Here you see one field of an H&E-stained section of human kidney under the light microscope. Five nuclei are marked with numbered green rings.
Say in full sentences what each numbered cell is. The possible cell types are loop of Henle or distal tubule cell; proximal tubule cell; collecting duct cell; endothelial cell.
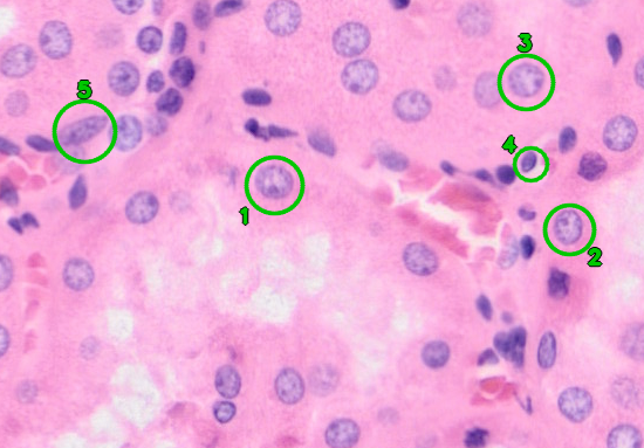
Cell 1 is a proximal tubule cell, cell 2 is a proximal tubule cell, cell 3 is a proximal tubule cell, cell 4 is an endothelial cell and cell 5 is a collecting duct cell.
